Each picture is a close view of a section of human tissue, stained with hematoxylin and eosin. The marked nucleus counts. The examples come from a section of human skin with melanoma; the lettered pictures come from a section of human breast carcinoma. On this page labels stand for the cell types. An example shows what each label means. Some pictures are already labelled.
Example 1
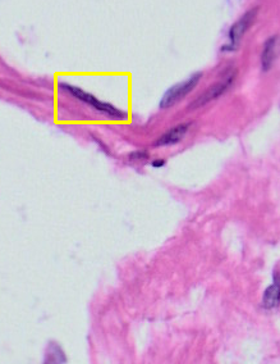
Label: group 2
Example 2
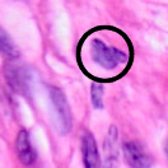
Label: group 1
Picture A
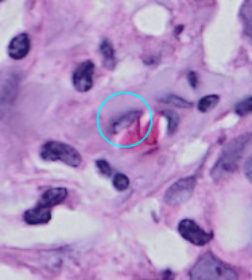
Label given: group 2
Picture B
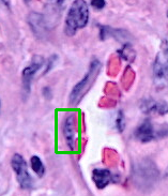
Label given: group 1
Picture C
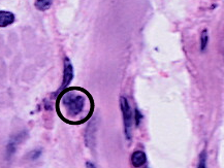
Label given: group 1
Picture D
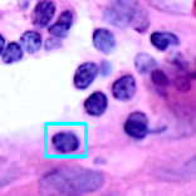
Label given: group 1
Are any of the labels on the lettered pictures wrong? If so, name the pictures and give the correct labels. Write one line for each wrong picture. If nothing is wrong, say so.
Wrong: B (group 1); correct: group 2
